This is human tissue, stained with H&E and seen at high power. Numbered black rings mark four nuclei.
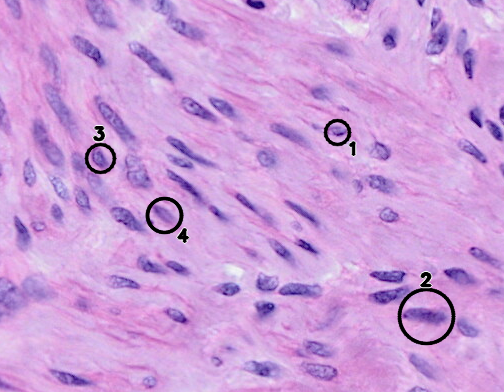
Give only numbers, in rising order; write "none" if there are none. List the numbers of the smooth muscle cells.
1, 3, 4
